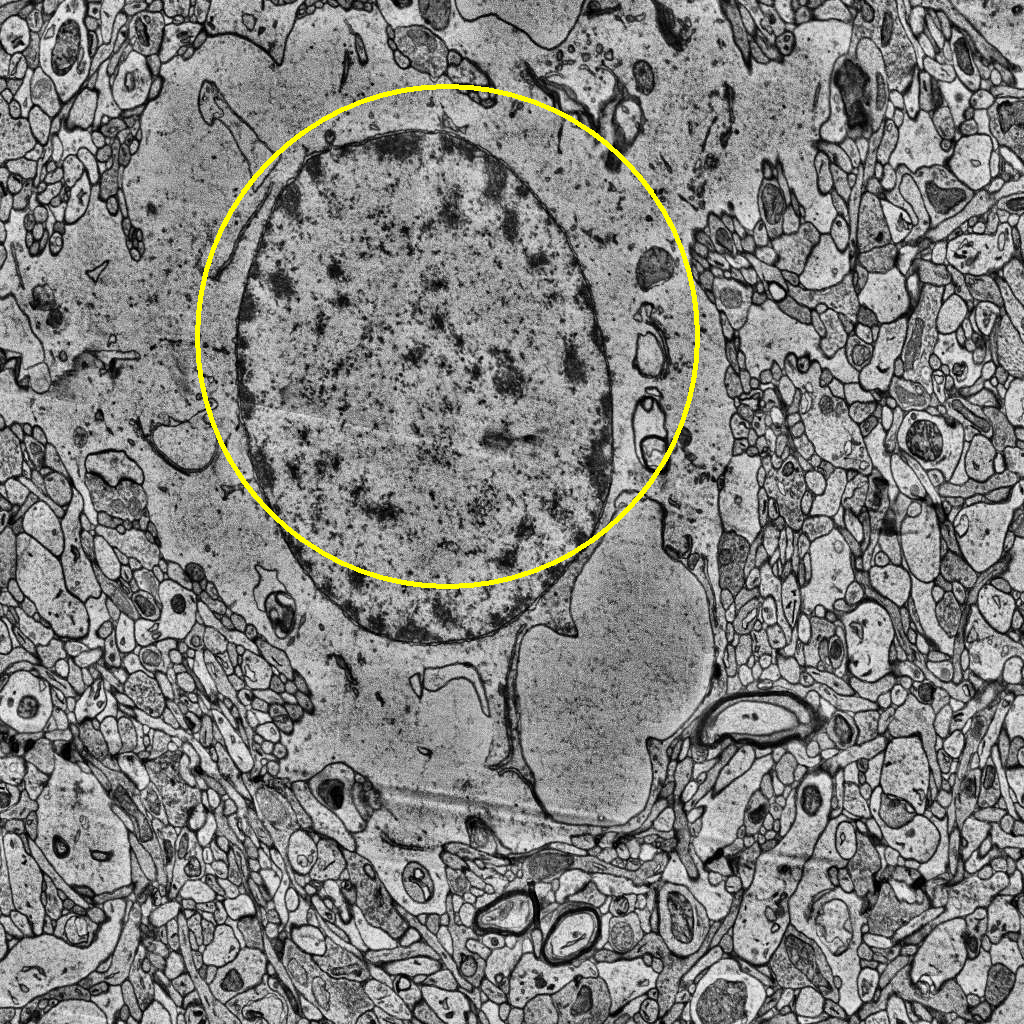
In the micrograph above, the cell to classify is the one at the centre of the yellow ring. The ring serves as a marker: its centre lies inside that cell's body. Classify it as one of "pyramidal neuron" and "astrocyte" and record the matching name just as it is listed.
astrocyte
